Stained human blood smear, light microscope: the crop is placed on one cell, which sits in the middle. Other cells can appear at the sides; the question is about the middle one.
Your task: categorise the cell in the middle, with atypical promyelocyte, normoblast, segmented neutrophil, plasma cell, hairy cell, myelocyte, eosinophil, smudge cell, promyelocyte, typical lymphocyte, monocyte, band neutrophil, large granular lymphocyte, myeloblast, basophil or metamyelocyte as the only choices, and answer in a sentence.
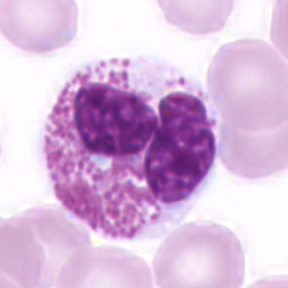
The cell under consideration, at the middle of the crop, is an eosinophil.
